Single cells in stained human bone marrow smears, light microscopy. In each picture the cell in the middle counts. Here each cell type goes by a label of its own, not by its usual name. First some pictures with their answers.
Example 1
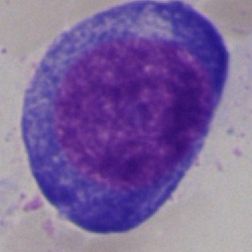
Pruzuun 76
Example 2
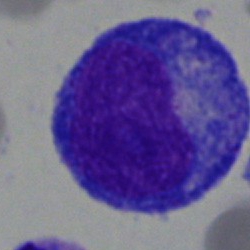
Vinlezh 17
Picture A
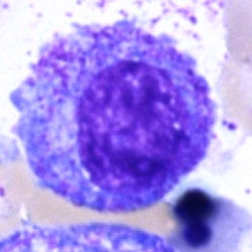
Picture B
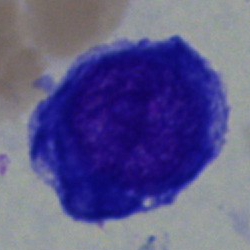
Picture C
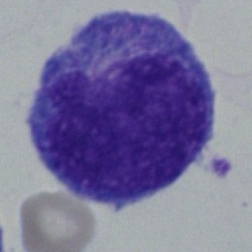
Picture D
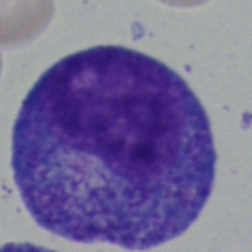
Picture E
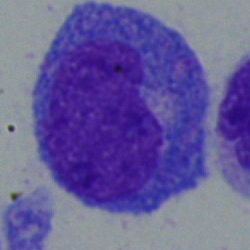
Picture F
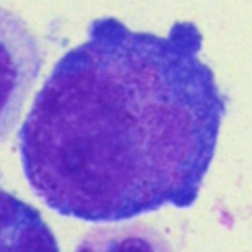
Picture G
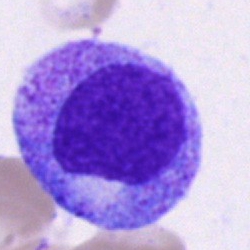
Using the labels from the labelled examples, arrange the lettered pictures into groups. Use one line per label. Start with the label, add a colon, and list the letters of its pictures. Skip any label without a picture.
Pruzuun 76: B
Vinlezh 17: A, C, D, E, F, G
